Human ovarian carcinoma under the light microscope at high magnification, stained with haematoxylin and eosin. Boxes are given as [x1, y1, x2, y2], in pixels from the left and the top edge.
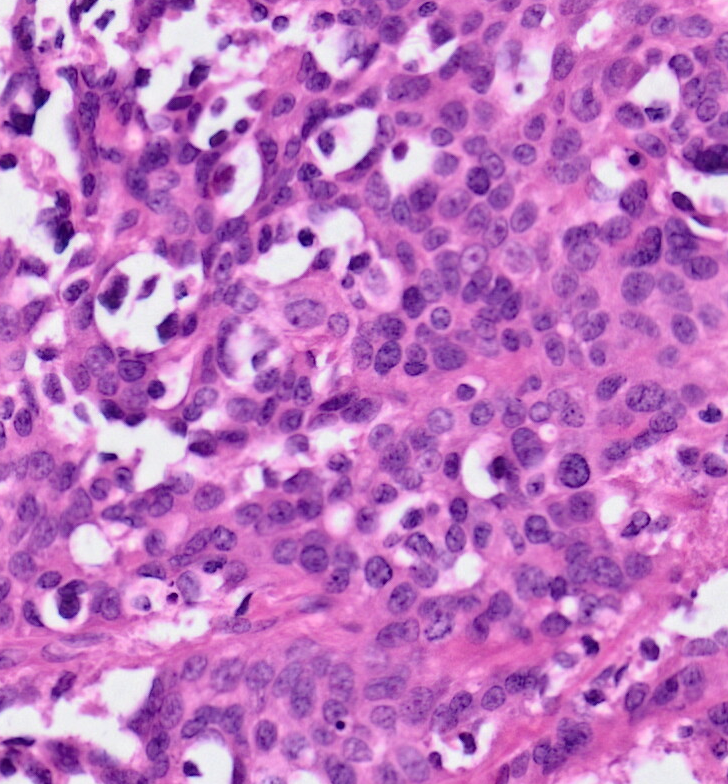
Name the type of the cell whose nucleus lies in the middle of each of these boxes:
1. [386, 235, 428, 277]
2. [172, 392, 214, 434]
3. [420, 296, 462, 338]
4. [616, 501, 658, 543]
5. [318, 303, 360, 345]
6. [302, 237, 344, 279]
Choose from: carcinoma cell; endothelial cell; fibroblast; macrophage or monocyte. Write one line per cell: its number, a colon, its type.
1: carcinoma cell
2: carcinoma cell
3: macrophage or monocyte
4: macrophage or monocyte
5: macrophage or monocyte
6: carcinoma cell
